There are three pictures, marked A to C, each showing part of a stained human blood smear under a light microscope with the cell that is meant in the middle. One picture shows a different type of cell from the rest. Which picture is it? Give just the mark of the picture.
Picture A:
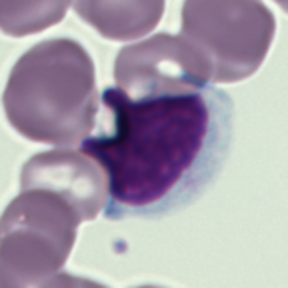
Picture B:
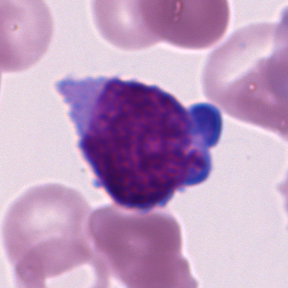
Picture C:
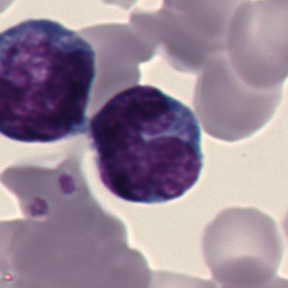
B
